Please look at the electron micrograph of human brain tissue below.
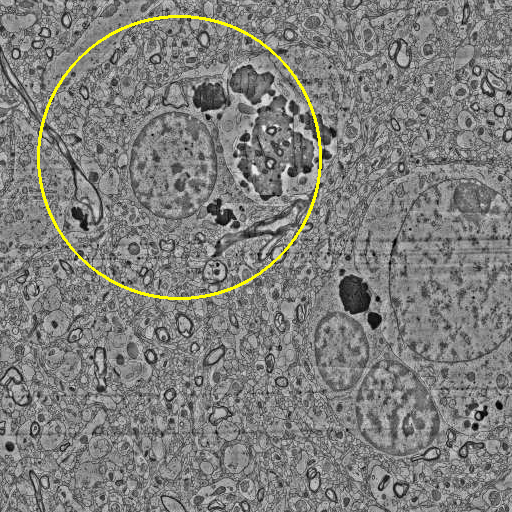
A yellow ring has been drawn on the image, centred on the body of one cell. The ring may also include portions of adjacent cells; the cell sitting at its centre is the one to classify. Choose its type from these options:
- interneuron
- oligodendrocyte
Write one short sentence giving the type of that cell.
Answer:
The cell in the middle of the ring is an oligodendrocyte.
